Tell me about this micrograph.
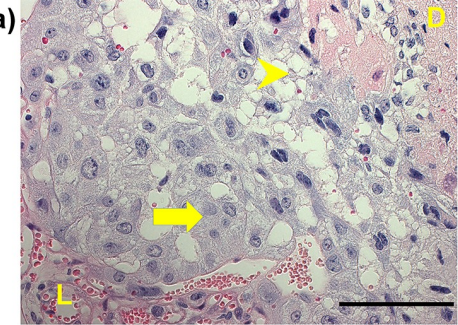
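This section shows the junctional zone of the placenta, made up of spongiotrophoblast cells and glycogen cells, lying between the blood-filled labyrinth in one corner and the pink decidua in the other. Spongiotrophoblast cells form compact sheets of polygonal cells with round, centrally placed purple nuclei and finely granular pale cytoplasm. Glycogen cells appear as clusters with clear, vacuolated, almost empty-looking cytoplasm, producing pale open spaces among the denser cells. Red blood cells fill channels at the labyrinth edge, and larger cells with big nuclei appear toward the decidua.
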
